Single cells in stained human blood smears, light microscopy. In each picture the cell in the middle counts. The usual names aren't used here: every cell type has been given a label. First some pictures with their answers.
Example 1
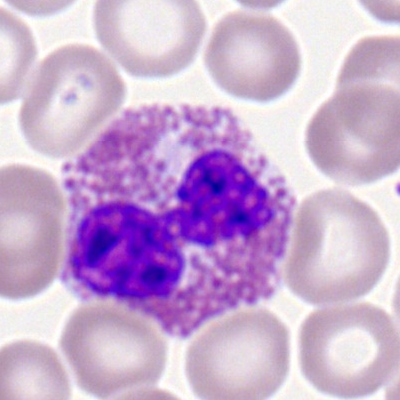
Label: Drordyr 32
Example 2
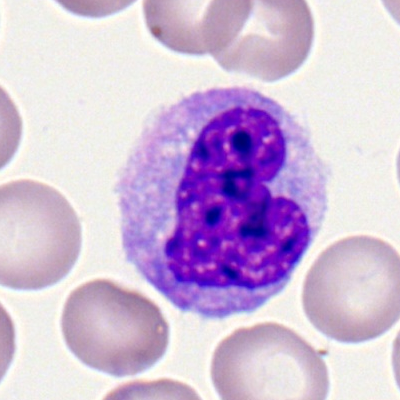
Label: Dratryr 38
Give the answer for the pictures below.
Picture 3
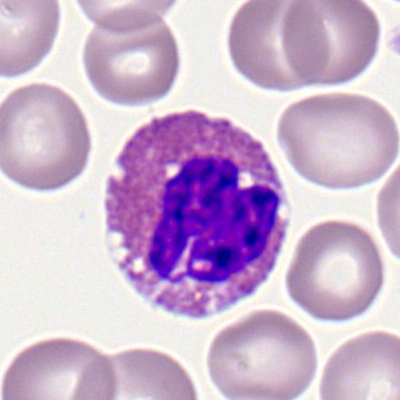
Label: Drordyr 32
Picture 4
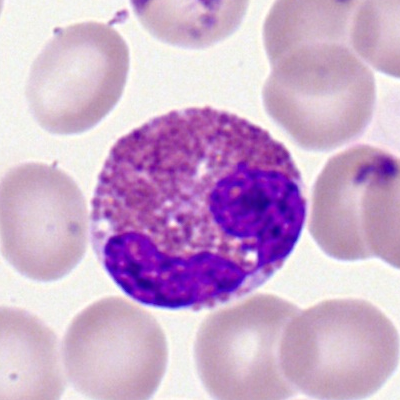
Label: Drordyr 32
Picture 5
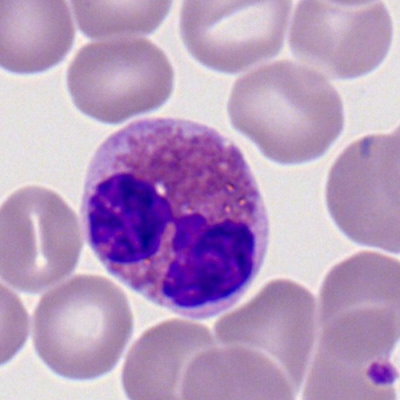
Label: Drordyr 32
